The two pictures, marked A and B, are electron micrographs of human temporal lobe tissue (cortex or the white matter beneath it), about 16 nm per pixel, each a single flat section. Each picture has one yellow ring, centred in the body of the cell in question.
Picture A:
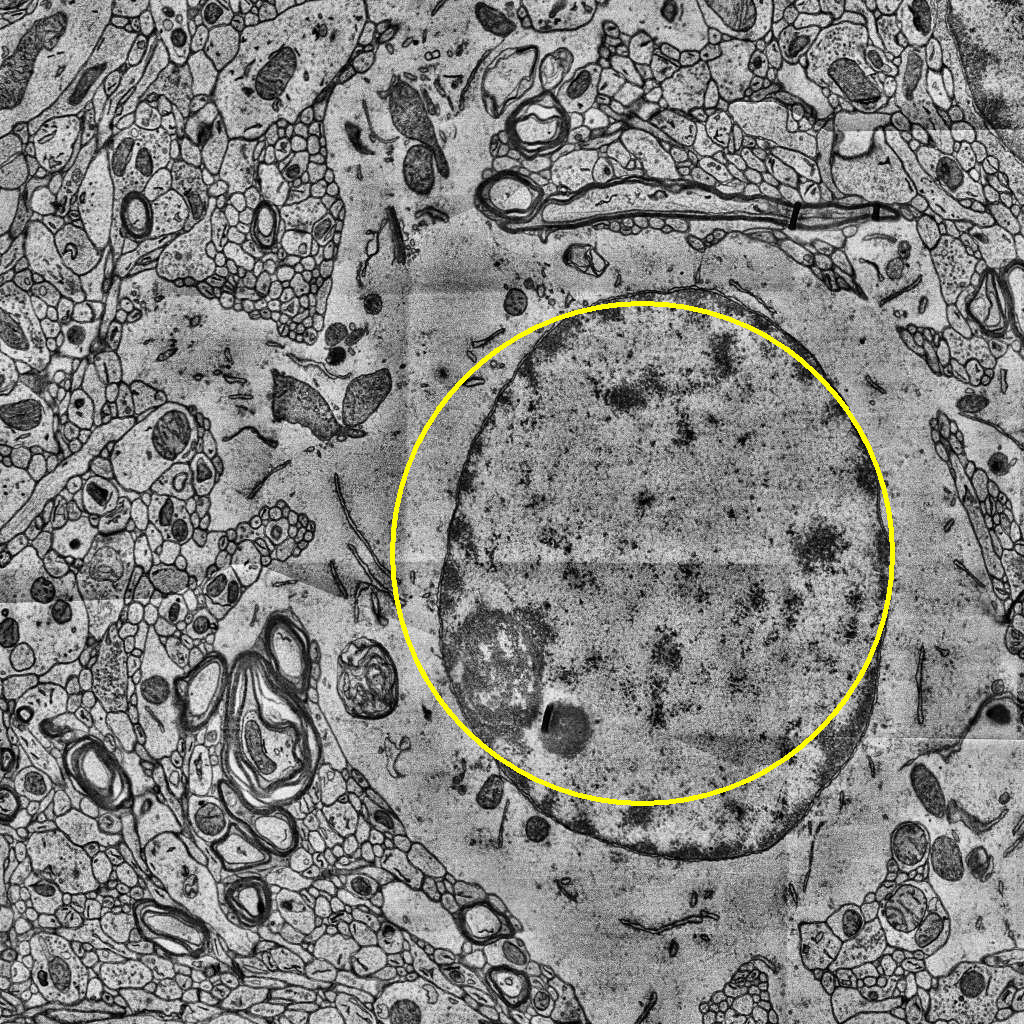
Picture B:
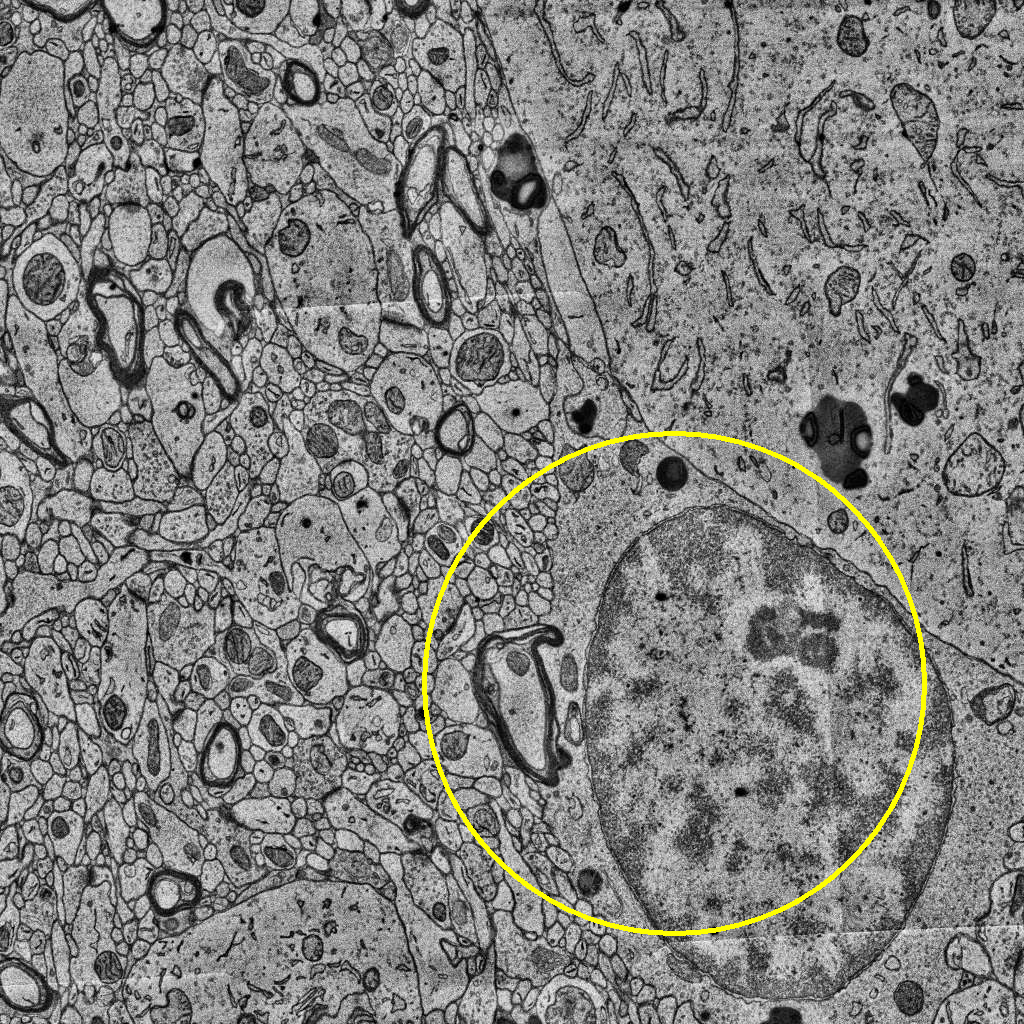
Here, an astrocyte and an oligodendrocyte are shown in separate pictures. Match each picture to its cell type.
Picture B shows an oligodendrocyte, while picture A shows an astrocyte.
